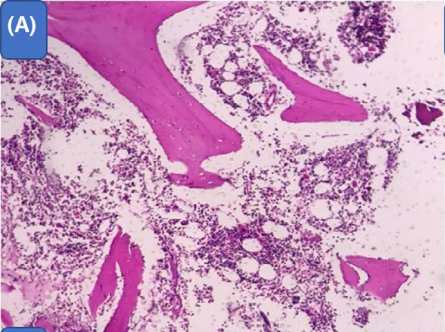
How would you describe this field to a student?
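Cellular hematopoietic tissue lying between bony trabeculae is seen at low power. Broad, smooth, bright pink plates and spicules of bone branch across the field, and the spaces between them are filled with blood-forming tissue. Cell density varies from place to place, with some areas rich in cells and others looser, with more fat and pale background. The bone edges are sharp, and the marrow spaces keep their normal mixture of cells and fat.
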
